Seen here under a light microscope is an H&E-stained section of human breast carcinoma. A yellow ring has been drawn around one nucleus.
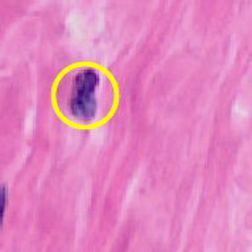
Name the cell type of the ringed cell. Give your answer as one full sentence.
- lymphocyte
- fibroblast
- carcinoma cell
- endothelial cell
Speaking plainly, the ringed cell is nothing other than a lymphocyte.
